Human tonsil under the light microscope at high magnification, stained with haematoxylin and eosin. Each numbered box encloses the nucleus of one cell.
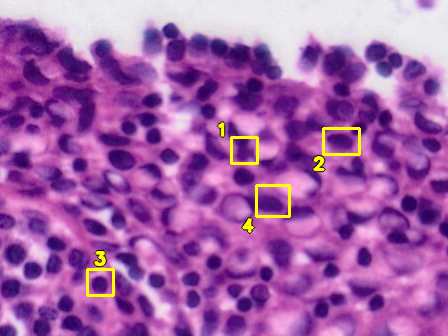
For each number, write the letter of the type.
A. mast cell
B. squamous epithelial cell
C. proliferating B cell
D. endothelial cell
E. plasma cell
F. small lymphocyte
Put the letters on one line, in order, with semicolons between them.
B; B; E; B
